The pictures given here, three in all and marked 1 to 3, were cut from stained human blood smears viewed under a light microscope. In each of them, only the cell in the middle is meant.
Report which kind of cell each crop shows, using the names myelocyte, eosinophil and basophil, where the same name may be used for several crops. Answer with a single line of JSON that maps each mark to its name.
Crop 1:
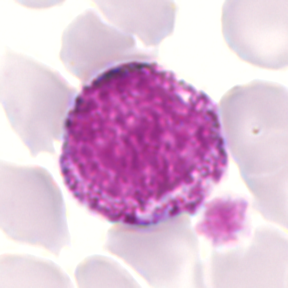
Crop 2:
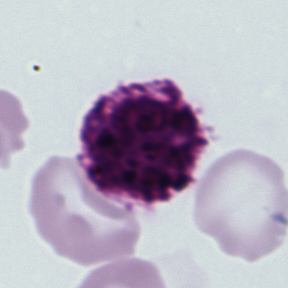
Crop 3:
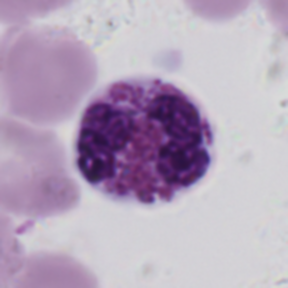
{"1": "myelocyte", "2": "basophil", "3": "eosinophil"}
